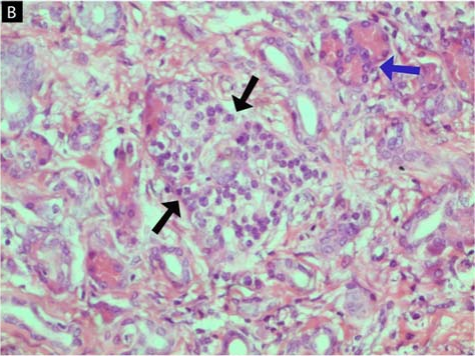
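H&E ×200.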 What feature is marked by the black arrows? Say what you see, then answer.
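A rounded cluster of small cells with round nuclei and pale cytoplasm. The cluster lies among fibrous stroma and pink glandular units.
Islet of Langerhans.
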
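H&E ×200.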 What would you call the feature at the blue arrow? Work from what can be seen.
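A small group of cells with pink-orange granular cytoplasm. The cells form a compact rounded glandular unit. On this evidence: exocrine acini.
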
